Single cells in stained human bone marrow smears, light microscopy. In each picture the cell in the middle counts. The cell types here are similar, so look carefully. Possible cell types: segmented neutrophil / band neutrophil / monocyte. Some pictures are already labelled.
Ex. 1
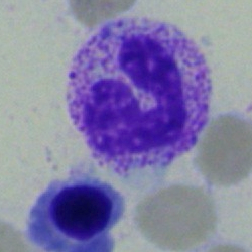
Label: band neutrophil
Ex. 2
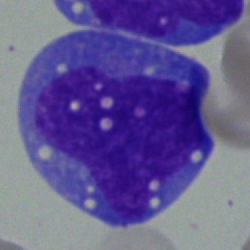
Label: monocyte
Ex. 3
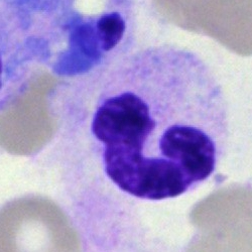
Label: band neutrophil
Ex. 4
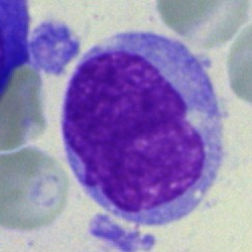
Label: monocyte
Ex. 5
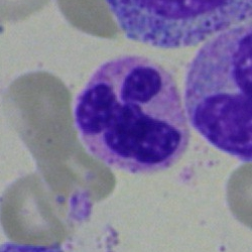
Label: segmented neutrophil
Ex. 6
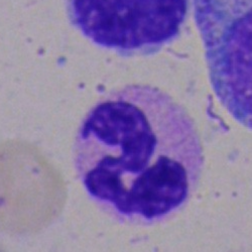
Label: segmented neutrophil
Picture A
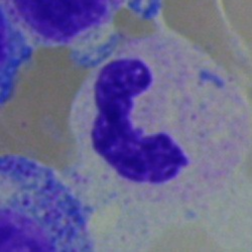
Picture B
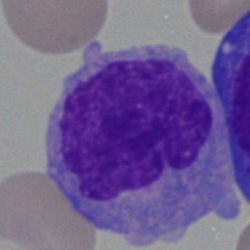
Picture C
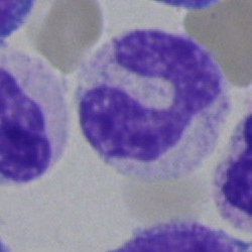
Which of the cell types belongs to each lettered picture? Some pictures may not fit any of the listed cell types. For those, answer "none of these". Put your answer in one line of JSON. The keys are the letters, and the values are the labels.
{"A": "segmented neutrophil", "B": "monocyte", "C": "band neutrophil"}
